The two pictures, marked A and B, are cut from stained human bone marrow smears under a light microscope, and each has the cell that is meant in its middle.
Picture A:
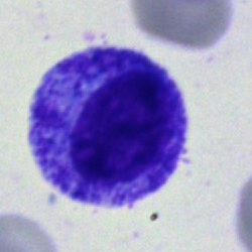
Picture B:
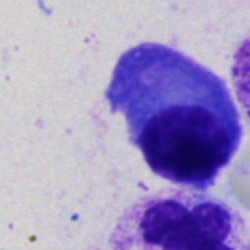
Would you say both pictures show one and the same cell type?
no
